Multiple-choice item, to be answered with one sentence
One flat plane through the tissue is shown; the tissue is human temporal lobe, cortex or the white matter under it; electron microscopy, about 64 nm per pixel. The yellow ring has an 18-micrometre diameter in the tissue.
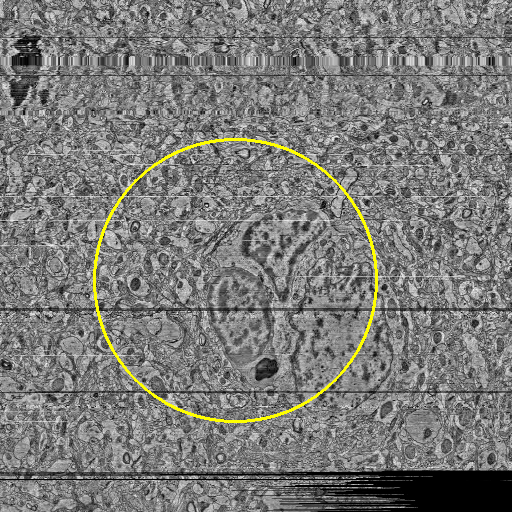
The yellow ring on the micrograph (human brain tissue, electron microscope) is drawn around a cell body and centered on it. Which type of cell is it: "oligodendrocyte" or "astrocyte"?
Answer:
The ring is centered on an oligodendrocyte.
